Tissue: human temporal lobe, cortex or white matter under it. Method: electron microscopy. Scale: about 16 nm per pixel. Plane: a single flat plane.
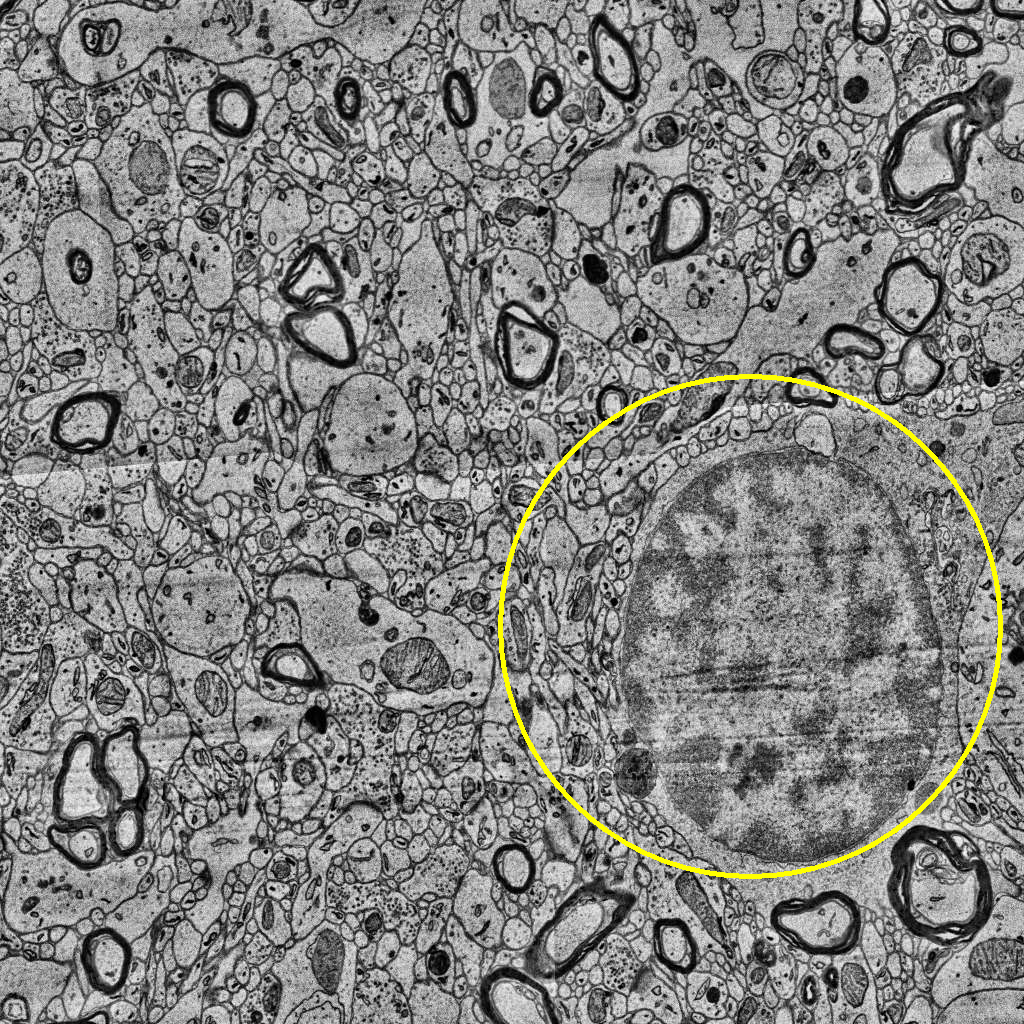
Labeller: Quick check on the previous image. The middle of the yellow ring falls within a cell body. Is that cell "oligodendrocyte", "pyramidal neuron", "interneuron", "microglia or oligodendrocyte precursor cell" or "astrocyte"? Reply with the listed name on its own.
oligodendrocyte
